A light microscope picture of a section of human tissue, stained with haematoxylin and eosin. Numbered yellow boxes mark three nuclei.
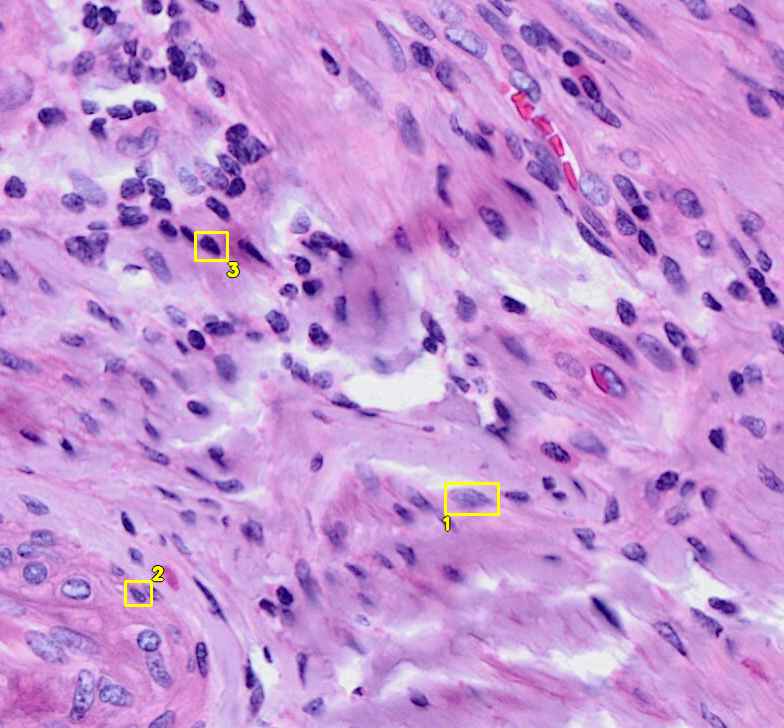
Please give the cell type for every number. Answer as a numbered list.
1. fibroblast
2. smooth muscle cell
3. lymphocyte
